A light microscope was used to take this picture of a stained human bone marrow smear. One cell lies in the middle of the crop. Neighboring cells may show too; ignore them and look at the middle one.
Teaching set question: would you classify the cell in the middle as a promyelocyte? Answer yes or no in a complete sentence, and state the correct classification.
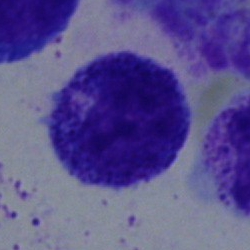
Yes, at the centre of the crop lies a promyelocyte.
